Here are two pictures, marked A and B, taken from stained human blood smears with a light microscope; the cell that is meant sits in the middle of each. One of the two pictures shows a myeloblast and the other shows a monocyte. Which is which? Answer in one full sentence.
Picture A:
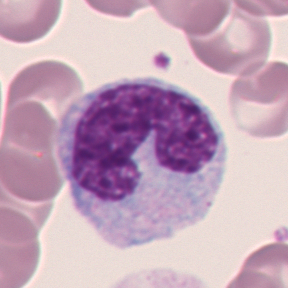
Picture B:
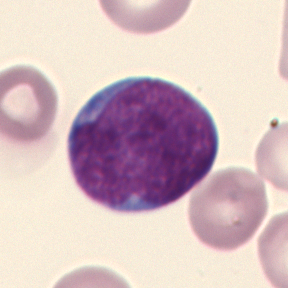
Picture A is of a monocyte, and picture B is of a myeloblast.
